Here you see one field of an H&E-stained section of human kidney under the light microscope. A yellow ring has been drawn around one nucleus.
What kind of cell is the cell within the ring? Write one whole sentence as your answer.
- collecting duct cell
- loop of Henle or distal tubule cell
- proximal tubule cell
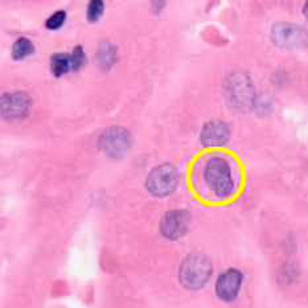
On this particular slide, the cell within the ring is a proximal tubule cell.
